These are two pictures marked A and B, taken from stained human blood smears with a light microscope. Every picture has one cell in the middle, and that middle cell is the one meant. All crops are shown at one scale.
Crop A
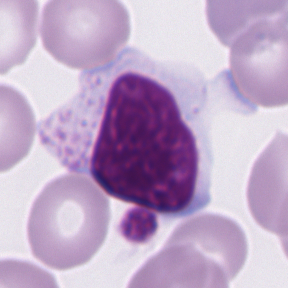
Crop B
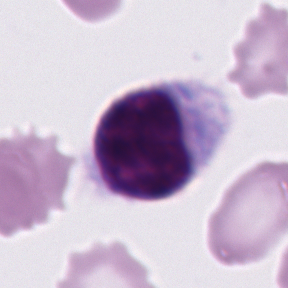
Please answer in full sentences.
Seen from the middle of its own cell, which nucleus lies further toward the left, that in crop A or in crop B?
It is the nucleus in crop B that lies further toward the left of its cell.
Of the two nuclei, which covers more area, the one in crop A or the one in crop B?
Crop A shows the larger nucleus; it covers about 1.5 times the area of the nucleus in crop B.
